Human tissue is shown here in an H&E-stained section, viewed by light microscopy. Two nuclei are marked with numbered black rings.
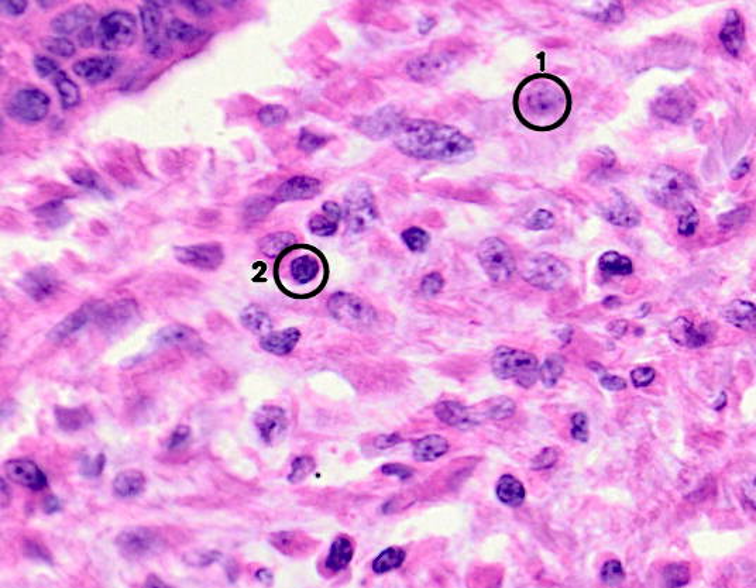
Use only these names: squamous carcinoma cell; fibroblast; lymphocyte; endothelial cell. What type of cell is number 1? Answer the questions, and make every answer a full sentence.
Identified by the number 1, the cell is a fibroblast.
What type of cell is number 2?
Identified by the number 2, the cell is a lymphocyte.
